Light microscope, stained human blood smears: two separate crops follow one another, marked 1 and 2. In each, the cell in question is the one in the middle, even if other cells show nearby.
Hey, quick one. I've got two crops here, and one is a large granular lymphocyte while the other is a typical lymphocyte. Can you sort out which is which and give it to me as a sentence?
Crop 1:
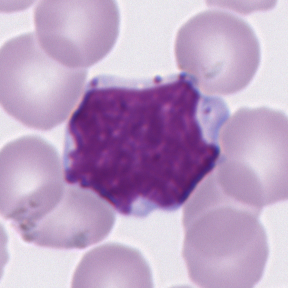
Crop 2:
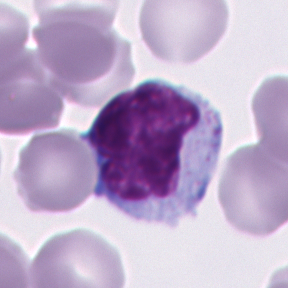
Crop 1 represents a large granular lymphocyte, while crop 2 represents a typical lymphocyte.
